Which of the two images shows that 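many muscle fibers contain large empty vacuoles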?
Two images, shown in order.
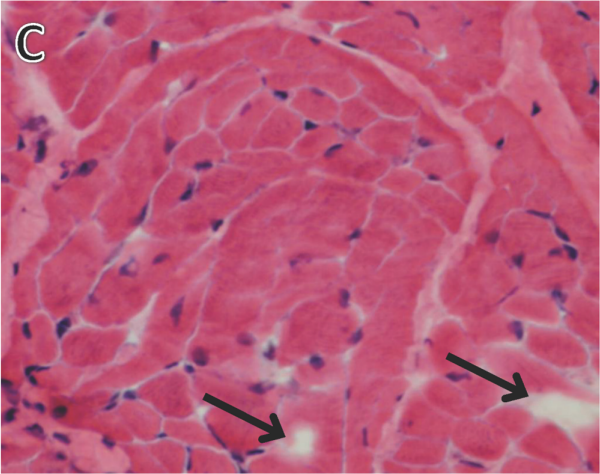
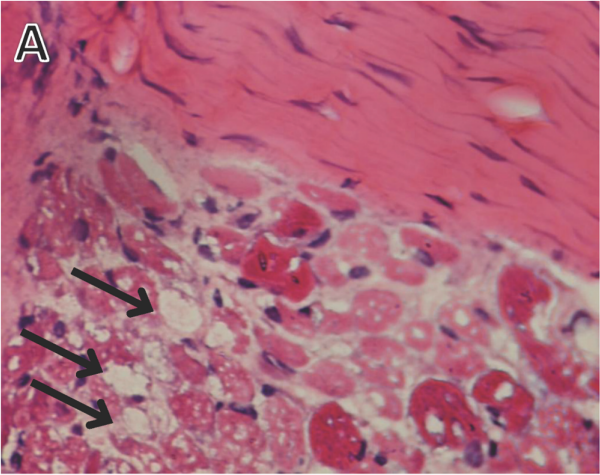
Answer: the second image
